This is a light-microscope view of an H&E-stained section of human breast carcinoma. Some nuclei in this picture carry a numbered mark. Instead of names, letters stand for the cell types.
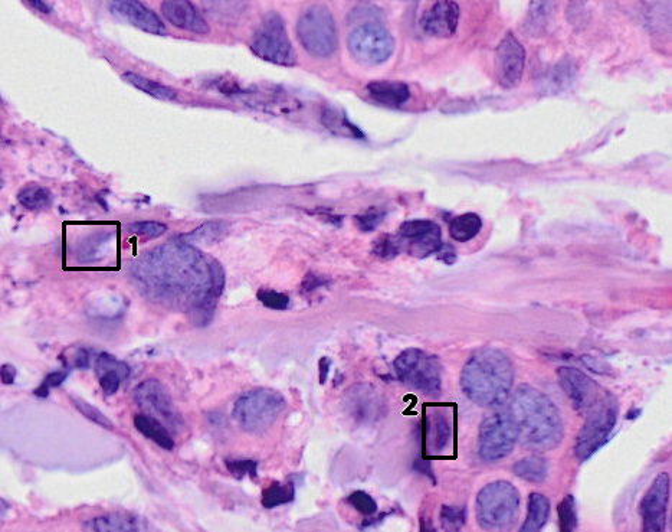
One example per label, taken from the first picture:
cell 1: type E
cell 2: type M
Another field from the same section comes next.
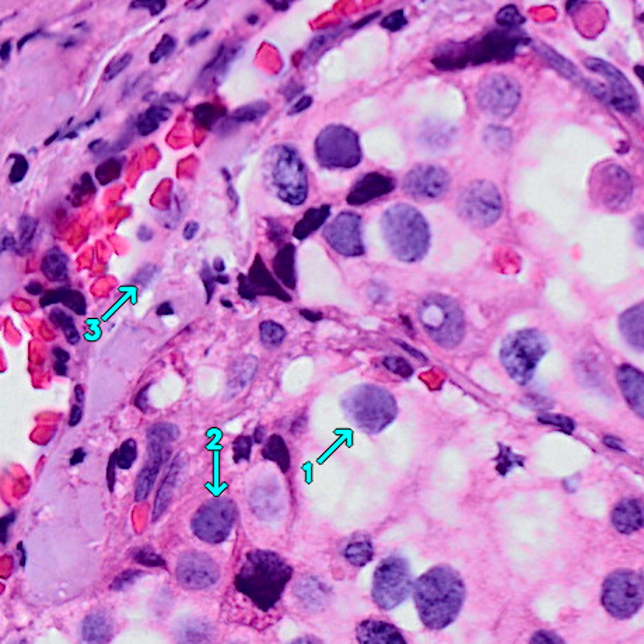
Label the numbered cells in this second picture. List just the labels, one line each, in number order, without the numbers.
type M
type M
type E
